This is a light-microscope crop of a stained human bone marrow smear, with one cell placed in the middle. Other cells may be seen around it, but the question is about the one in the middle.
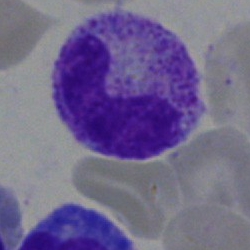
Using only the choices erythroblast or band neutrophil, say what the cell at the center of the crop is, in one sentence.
Among the cells in view, the one in the middle is a band neutrophil.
